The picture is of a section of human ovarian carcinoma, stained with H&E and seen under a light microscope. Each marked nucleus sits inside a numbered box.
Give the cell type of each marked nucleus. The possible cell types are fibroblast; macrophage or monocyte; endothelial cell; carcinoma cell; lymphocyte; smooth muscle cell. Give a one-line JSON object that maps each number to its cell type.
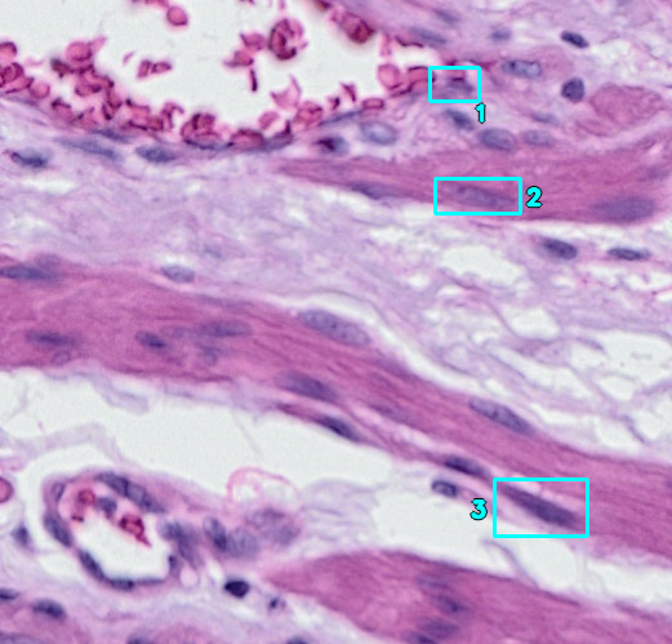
{"1": "endothelial cell", "2": "smooth muscle cell", "3": "smooth muscle cell"}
